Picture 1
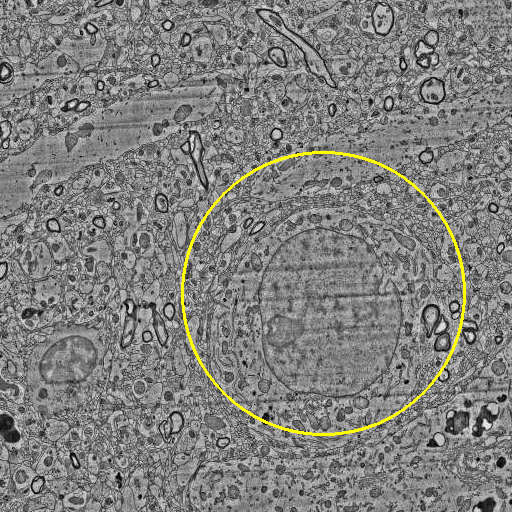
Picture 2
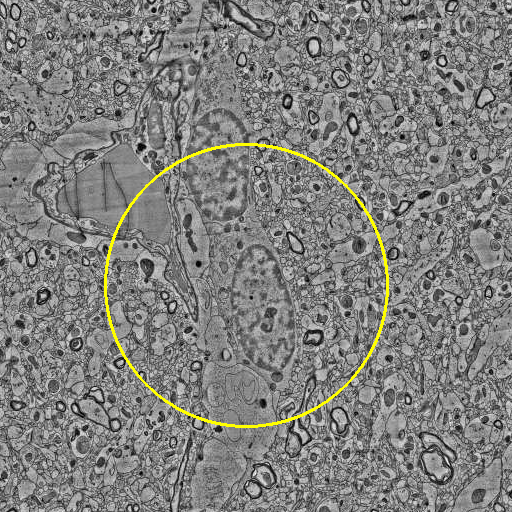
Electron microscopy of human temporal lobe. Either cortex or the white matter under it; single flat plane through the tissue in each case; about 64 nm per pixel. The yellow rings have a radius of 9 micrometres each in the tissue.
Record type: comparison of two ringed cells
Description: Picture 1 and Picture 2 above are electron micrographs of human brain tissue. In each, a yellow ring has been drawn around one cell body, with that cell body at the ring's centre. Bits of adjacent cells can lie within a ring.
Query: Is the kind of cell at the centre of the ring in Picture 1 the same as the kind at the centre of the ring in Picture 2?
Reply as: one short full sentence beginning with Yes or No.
No, the two ringed cells are of two separate kinds.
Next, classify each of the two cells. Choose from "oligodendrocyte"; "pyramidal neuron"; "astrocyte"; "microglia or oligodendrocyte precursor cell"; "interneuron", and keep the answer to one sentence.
In the first picture it is an interneuron; in the second it is an oligodendrocyte.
